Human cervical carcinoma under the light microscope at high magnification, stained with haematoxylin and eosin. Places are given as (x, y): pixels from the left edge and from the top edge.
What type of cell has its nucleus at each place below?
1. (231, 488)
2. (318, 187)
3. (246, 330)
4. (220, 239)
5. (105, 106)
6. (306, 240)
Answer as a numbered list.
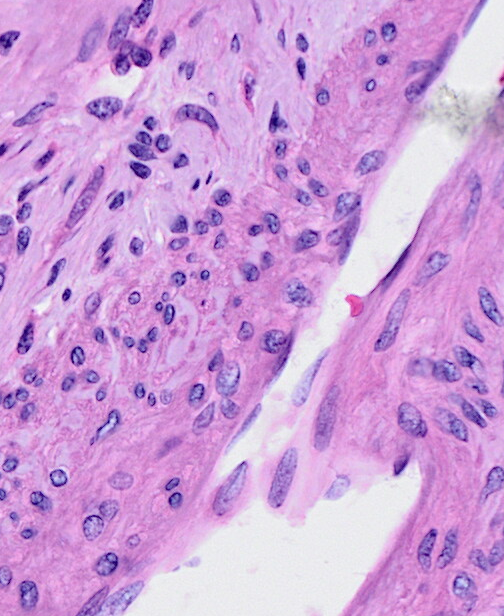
1. endothelial cell
2. smooth muscle cell
3. smooth muscle cell
4. smooth muscle cell
5. endothelial cell
6. smooth muscle cell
